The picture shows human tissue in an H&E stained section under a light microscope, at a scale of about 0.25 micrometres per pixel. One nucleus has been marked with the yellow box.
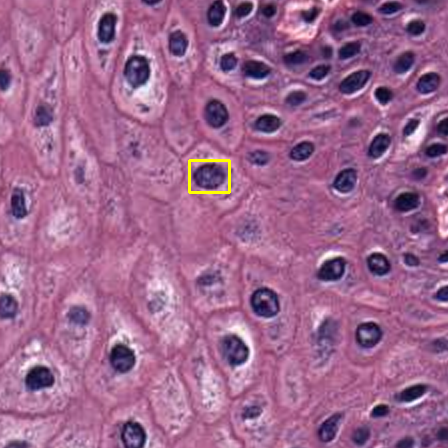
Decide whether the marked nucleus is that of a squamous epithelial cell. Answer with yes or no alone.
yes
